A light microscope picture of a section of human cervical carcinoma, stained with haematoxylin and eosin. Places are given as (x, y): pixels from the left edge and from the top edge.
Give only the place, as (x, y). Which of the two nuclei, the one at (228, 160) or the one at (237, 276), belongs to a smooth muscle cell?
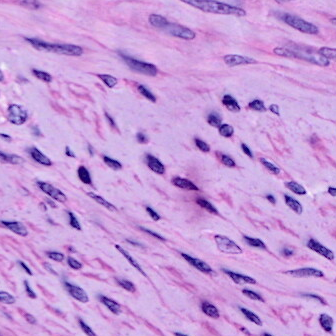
(228, 160)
